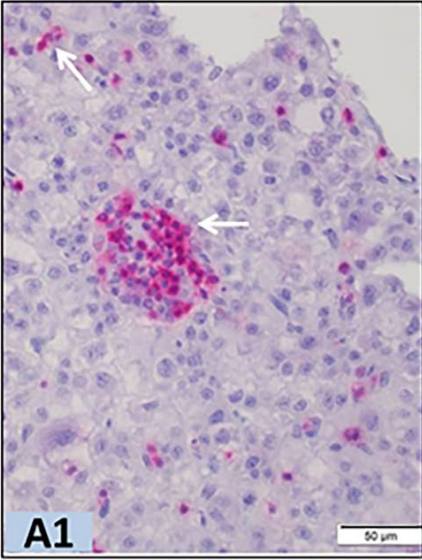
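Liver tissue of large polygonal hepatocytes, with scattered small infiltrating cells and one compact cluster of them stained purple-magenta. The hepatocytes have round, centrally placed nuclei with visible nucleoli and pale, partly vacuolated pink-lilac cytoplasm, packed closely in sheets. In the middle lies a dense rounded aggregate of small round cells, most of them stained purple-magenta. Single purple-stained small cells lie scattered between the hepatocytes in the narrow spaces around them, and a few more sit near the upper left. The tissue edge runs along the top right, with empty background beyond it.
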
